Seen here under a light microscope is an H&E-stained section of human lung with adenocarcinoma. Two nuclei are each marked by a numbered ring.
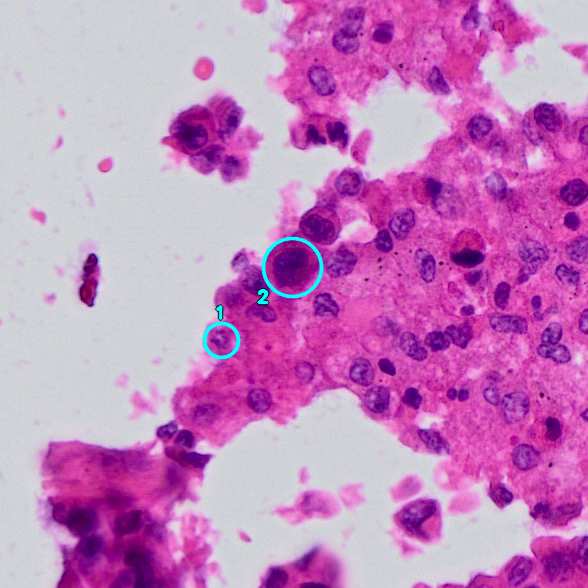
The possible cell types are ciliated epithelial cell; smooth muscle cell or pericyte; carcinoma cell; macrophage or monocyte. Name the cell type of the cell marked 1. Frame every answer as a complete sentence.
Within this field of view, the cell labelled 1 is a macrophage or monocyte.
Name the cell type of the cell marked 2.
The cell bearing label 2 corresponds to a carcinoma cell.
